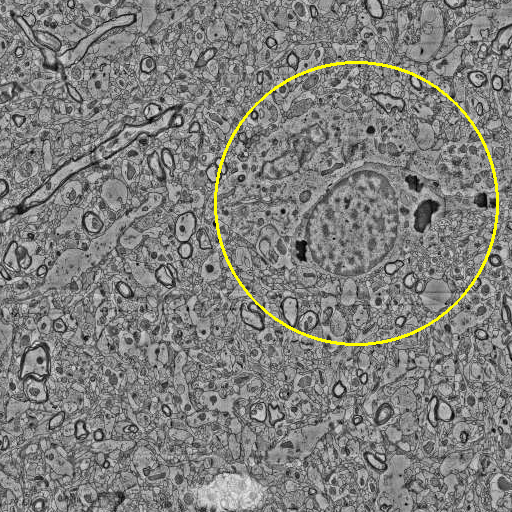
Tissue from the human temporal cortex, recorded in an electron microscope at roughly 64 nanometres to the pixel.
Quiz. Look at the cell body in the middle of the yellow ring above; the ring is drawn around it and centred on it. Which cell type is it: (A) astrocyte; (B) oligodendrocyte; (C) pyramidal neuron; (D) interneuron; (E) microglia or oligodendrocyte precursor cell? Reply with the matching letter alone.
B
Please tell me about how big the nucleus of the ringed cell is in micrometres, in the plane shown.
The nucleus of the ringed cell is approximately 7 by 6 micrometres in this plane.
